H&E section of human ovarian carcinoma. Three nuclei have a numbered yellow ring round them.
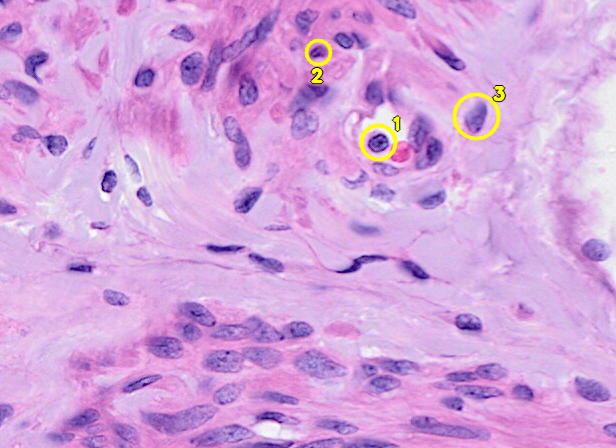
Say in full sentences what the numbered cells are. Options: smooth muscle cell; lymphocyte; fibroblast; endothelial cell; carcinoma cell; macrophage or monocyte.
Cell 1 is a lymphocyte. Cell 2 is a smooth muscle cell. Cell 3 is a fibroblast.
